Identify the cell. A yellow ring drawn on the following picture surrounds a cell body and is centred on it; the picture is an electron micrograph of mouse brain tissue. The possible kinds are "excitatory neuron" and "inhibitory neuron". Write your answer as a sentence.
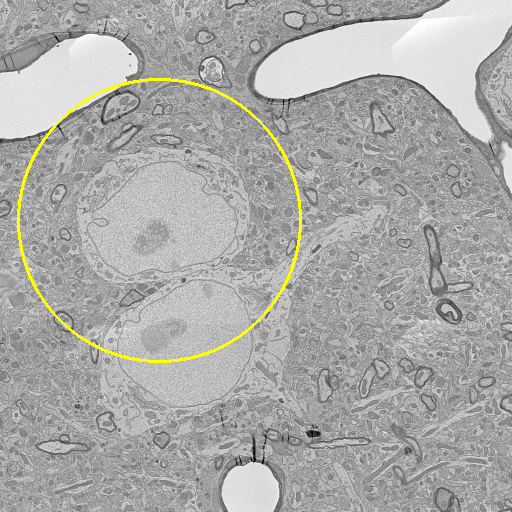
The cell identified by the ring is an inhibitory neuron.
